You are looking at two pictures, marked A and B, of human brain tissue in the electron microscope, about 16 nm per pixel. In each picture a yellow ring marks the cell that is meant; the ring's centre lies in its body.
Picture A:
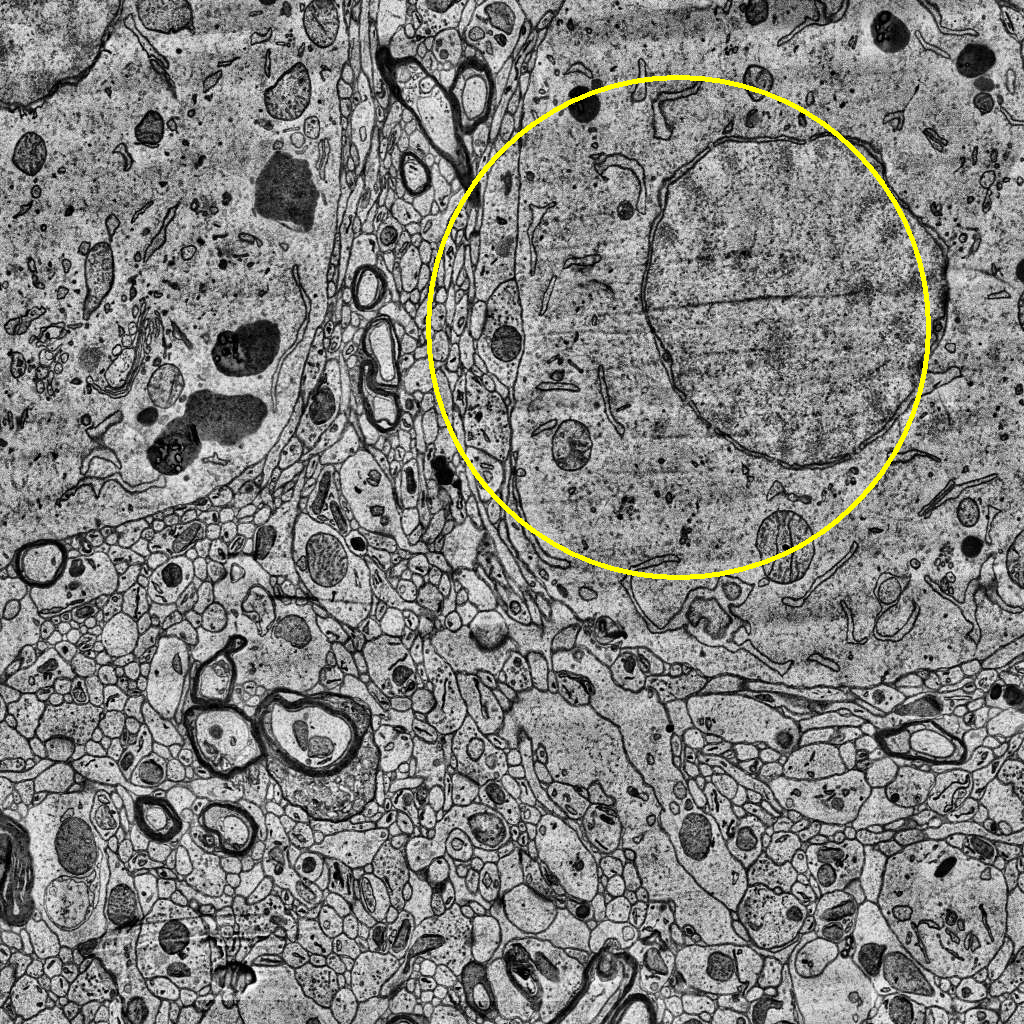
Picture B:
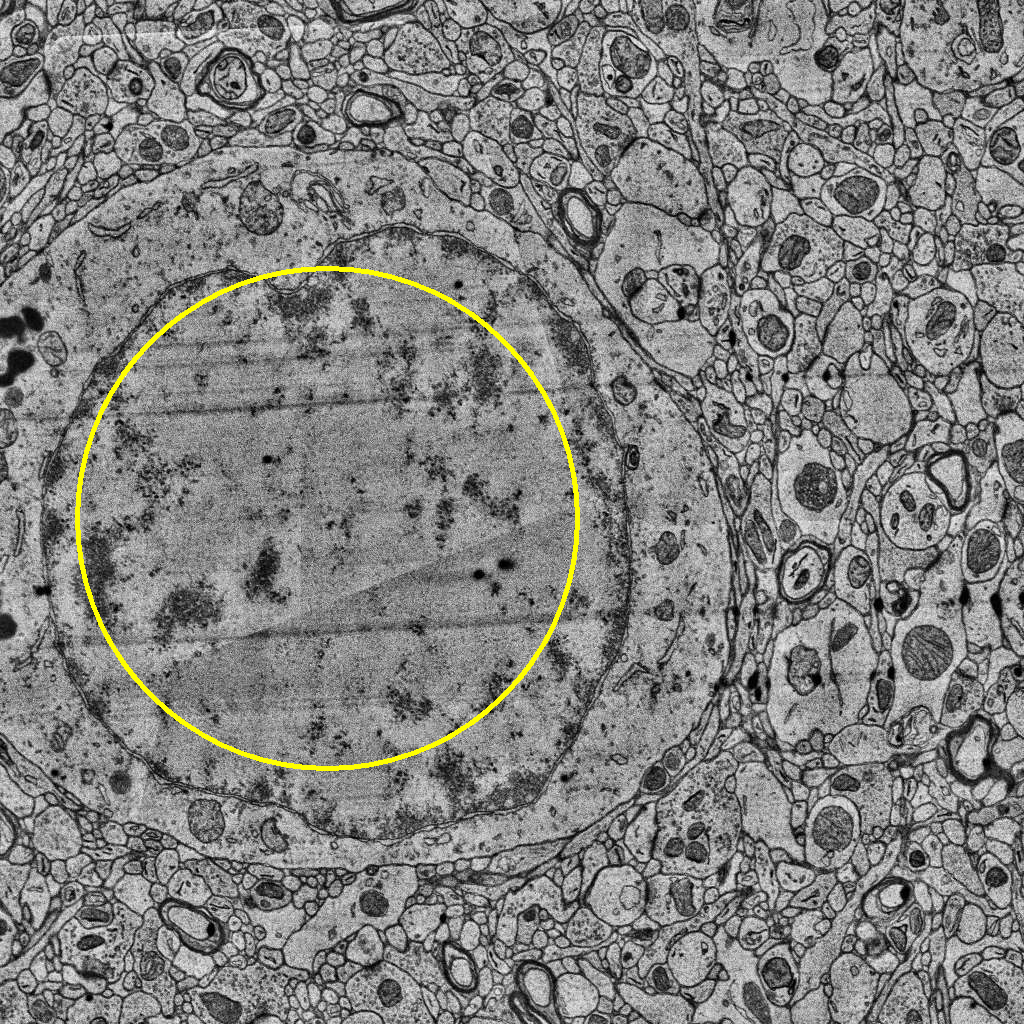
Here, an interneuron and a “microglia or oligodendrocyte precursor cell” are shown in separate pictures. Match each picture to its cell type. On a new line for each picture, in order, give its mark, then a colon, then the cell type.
A: microglia or oligodendrocyte precursor cell
B: interneuron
